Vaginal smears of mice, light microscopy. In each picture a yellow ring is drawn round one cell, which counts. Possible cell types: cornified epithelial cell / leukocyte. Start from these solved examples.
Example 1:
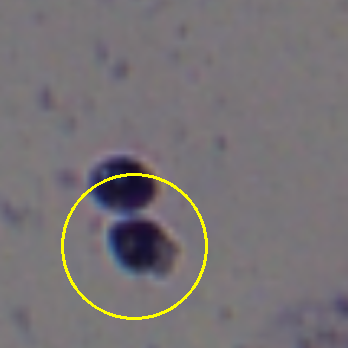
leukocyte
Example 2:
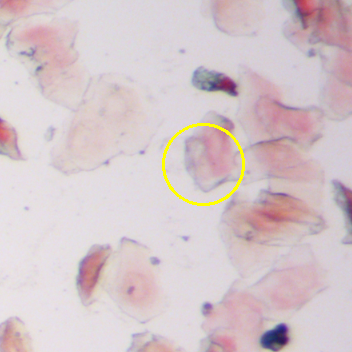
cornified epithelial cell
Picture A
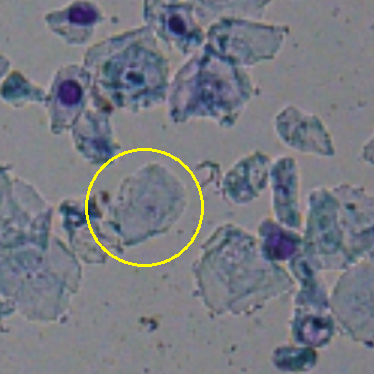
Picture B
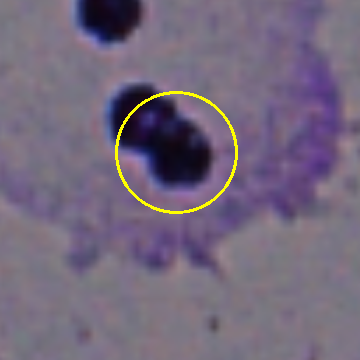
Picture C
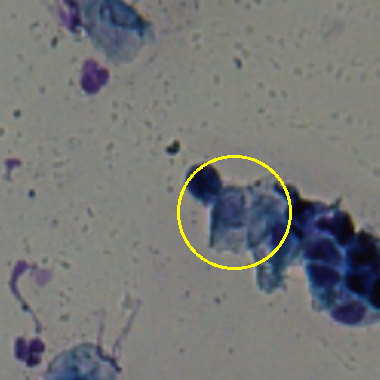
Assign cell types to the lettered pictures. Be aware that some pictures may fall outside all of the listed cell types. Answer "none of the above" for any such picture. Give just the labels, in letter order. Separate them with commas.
cornified epithelial cell, leukocyte, none of the above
